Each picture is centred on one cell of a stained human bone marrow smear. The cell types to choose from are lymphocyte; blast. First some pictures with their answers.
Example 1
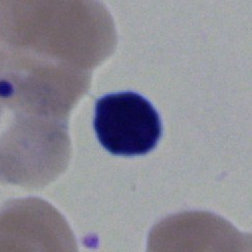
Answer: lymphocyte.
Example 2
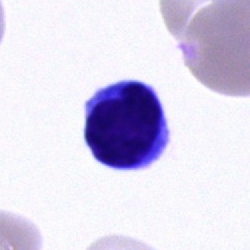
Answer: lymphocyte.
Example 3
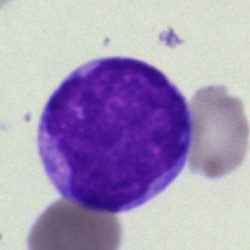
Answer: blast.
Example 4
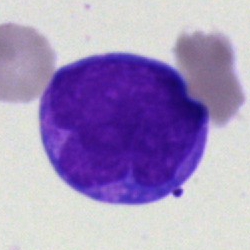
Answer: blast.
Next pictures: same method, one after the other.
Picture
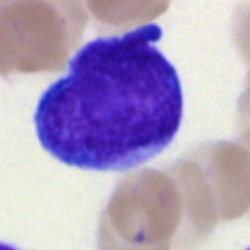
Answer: blast.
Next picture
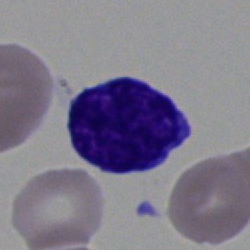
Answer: blast.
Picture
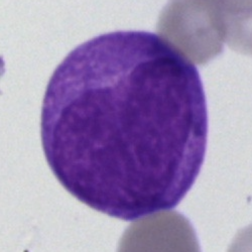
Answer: blast.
